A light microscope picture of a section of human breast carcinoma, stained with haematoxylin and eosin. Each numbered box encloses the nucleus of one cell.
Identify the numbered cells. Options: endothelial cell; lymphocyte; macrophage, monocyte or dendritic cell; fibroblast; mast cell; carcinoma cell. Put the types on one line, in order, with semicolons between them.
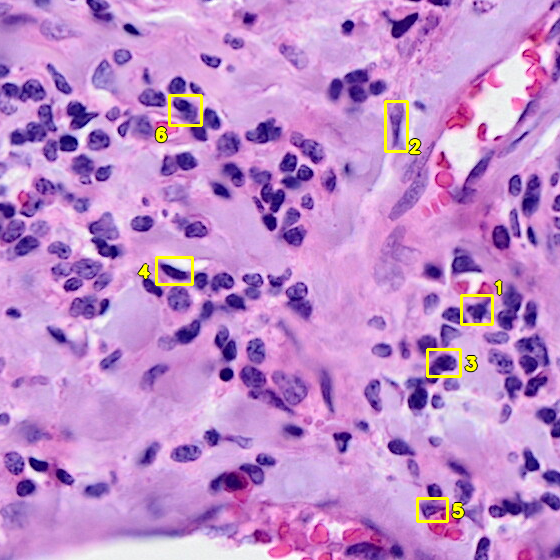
lymphocyte; fibroblast; lymphocyte; lymphocyte; endothelial cell; lymphocyte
